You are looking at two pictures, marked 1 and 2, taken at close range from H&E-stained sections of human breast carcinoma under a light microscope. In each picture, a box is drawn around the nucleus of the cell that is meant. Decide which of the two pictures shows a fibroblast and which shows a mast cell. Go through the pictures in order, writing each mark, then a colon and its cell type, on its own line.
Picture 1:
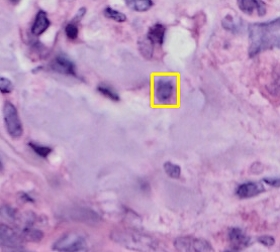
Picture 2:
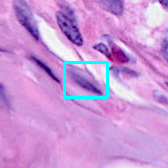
1: mast cell
2: fibroblast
